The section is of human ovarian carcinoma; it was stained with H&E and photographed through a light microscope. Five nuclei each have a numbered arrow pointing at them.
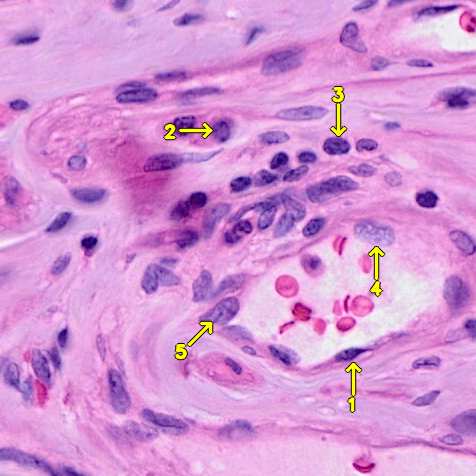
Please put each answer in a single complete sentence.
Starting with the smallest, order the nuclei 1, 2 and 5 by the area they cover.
By area, going up from the smallest, they rank 1, 2, 5.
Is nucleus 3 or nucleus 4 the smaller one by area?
The smaller nucleus is 3, and 4 covers roughly 2 times its area.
